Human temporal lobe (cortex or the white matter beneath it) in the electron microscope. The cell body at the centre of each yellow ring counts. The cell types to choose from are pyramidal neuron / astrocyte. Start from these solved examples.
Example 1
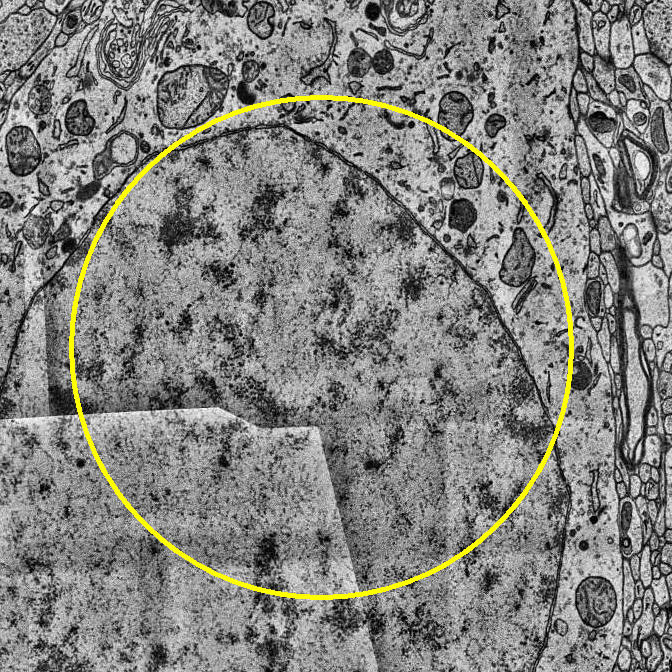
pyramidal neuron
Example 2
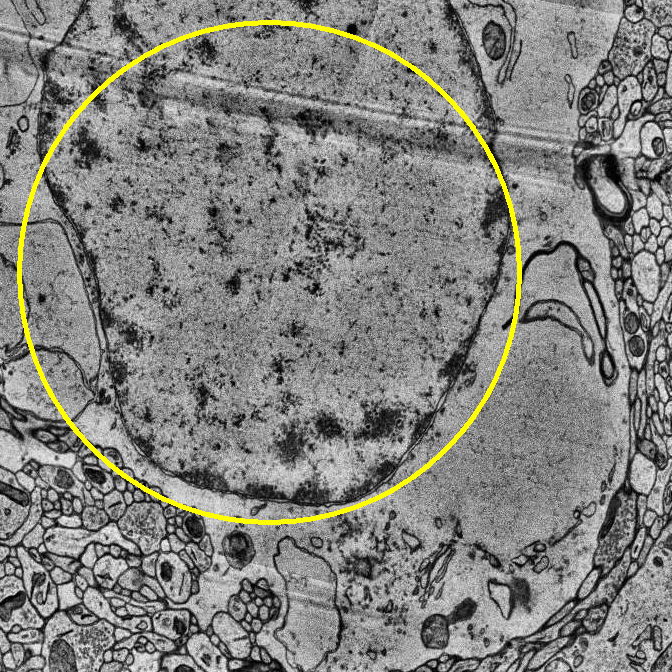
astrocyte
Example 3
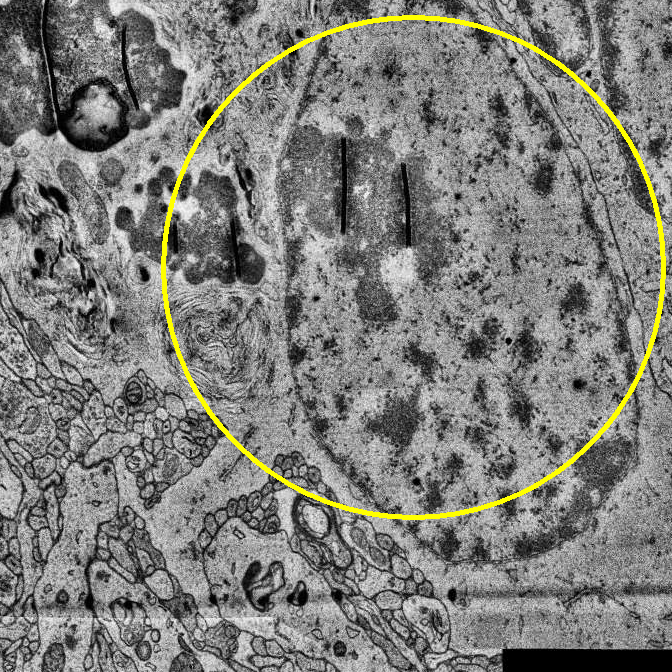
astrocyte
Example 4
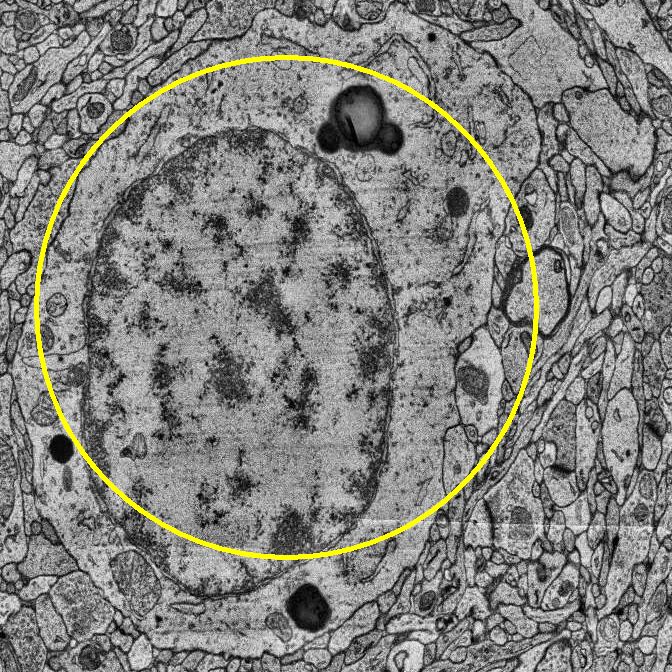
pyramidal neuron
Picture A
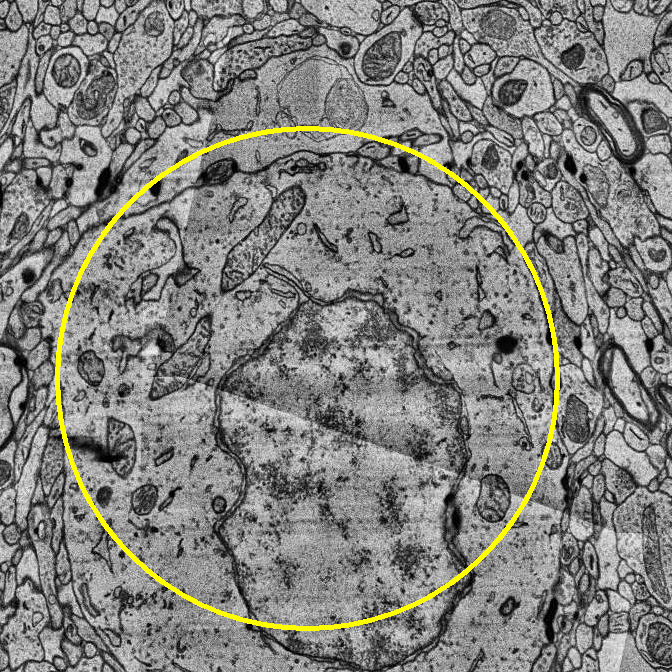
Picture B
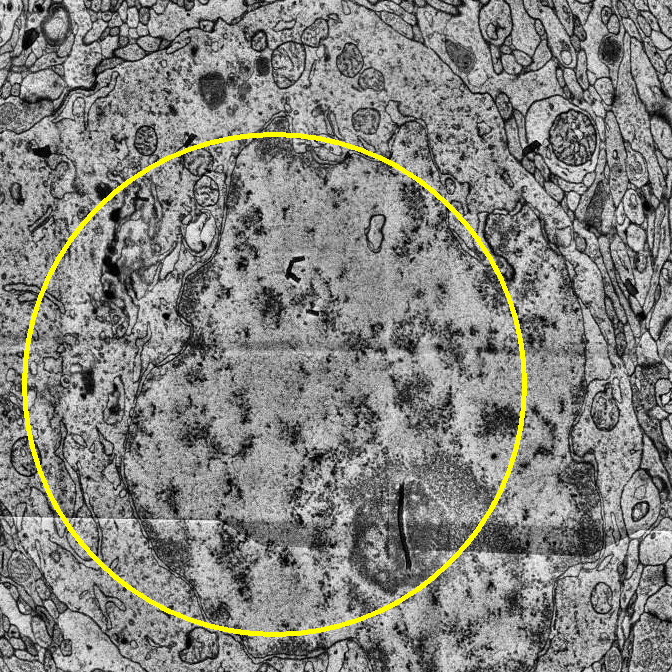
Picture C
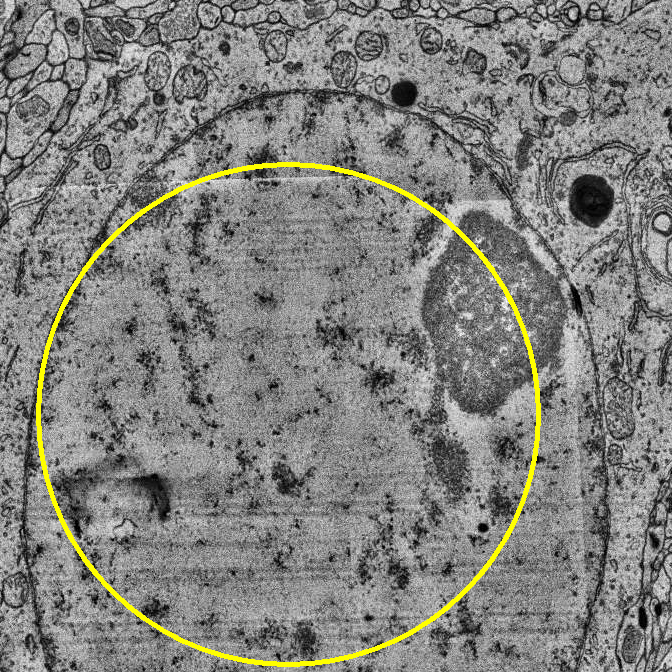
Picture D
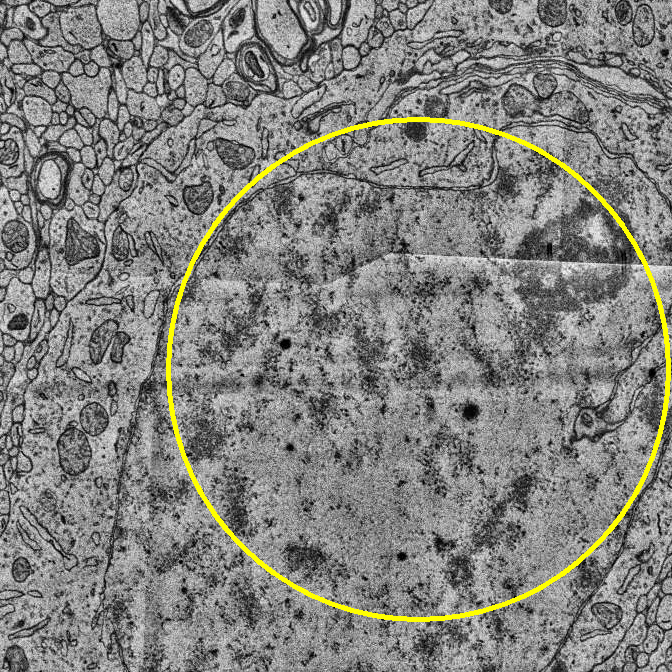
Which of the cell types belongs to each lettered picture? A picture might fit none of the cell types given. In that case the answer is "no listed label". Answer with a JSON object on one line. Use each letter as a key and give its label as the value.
{"A": "pyramidal neuron", "B": "no listed label", "C": "pyramidal neuron", "D": "no listed label"}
